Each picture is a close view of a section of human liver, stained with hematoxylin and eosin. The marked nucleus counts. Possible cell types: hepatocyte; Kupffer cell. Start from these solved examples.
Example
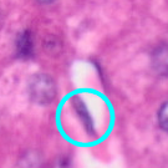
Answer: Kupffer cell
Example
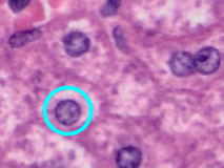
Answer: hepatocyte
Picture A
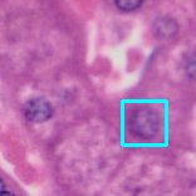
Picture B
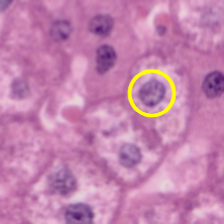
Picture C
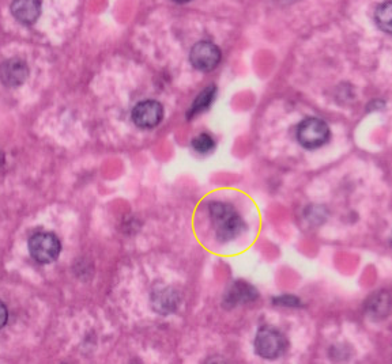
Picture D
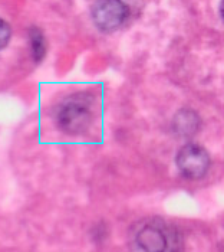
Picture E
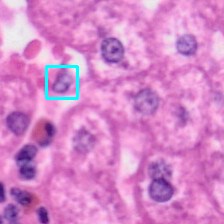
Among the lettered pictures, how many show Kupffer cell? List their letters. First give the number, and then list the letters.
Count: 3 (C, D, E)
